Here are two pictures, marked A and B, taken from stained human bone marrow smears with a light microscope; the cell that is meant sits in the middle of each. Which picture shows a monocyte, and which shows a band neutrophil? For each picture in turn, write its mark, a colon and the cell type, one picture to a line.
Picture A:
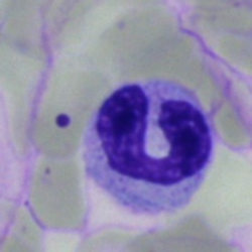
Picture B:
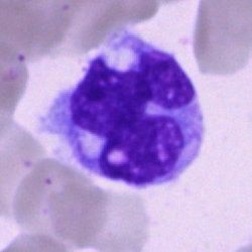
A: band neutrophil
B: monocyte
